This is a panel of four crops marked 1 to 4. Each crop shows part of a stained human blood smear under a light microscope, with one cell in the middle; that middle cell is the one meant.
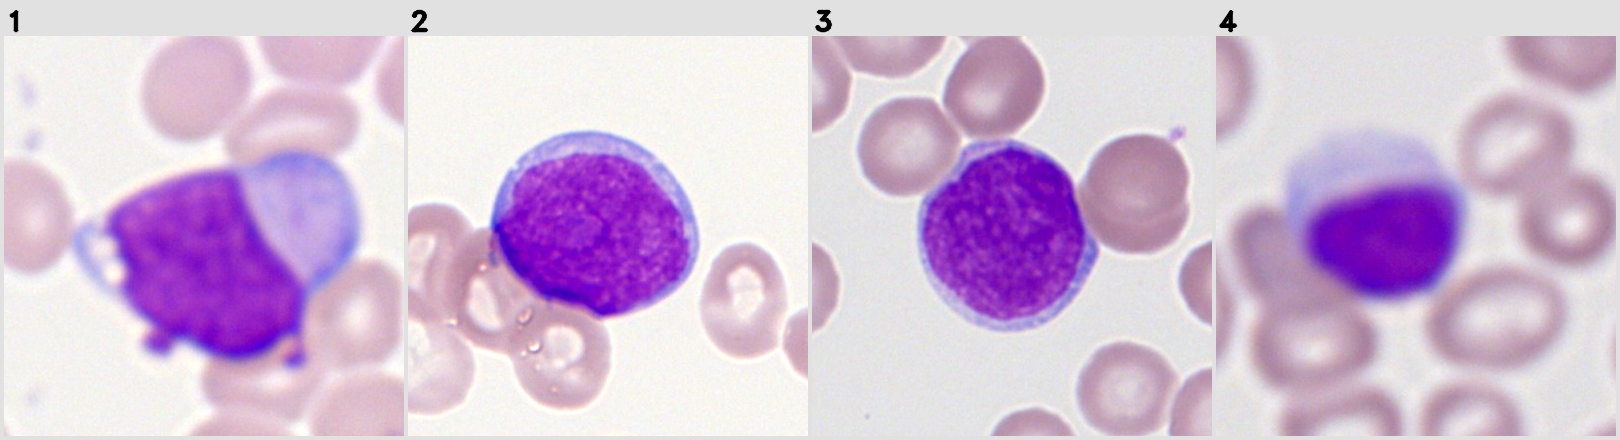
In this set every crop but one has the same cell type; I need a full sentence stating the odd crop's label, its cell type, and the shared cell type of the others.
All of the other crops show myeloblasts, while crop 4 shows a lymphocyte instead.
